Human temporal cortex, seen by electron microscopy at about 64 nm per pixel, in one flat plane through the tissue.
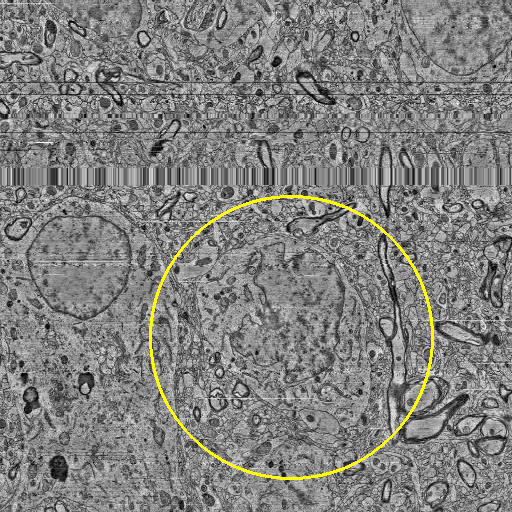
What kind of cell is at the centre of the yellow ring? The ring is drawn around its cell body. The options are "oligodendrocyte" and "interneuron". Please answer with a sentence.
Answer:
The yellow ring marks the cell body of an interneuron.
